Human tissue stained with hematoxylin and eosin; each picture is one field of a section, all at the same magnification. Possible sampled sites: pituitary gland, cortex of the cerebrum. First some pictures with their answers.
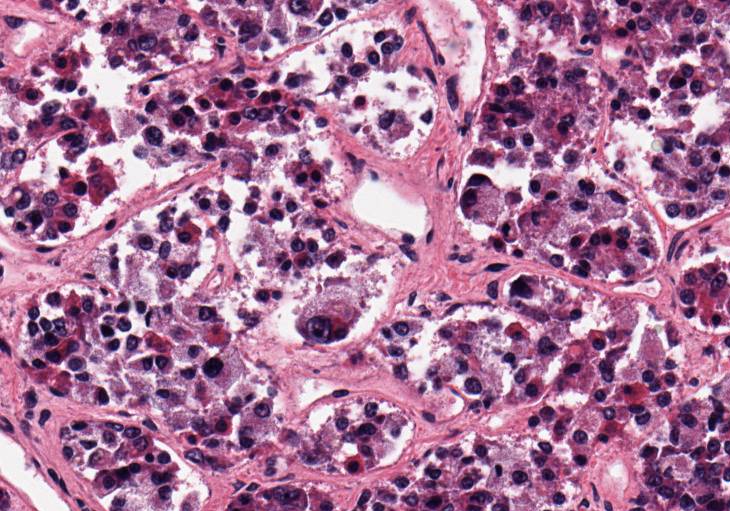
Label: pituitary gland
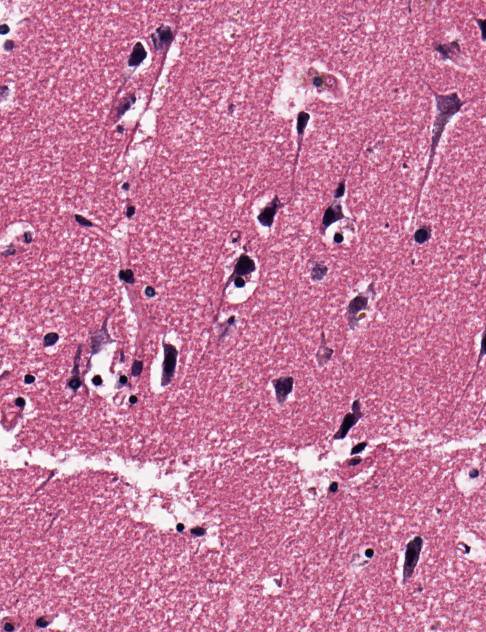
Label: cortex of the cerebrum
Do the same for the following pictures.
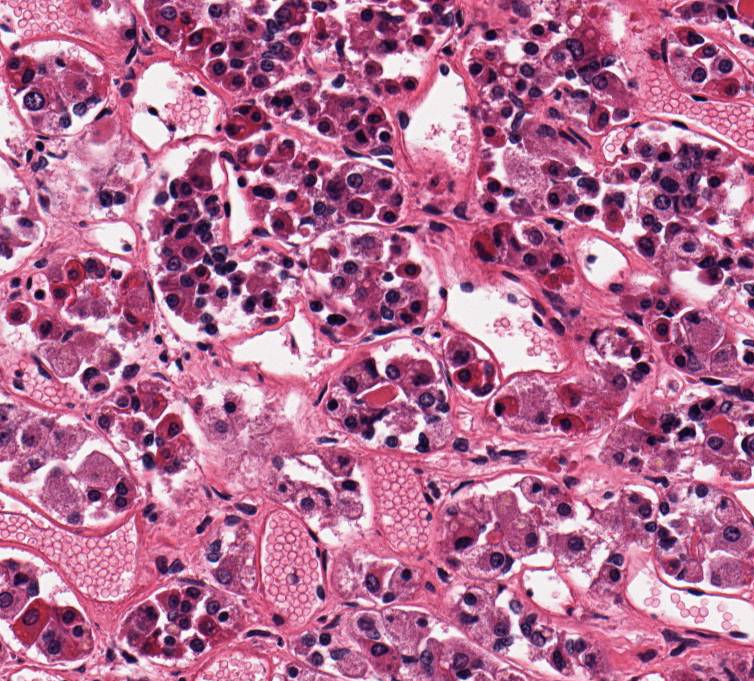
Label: pituitary gland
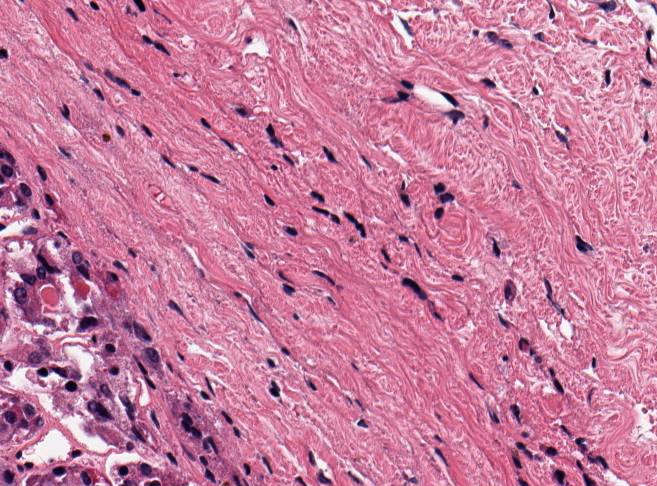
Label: pituitary gland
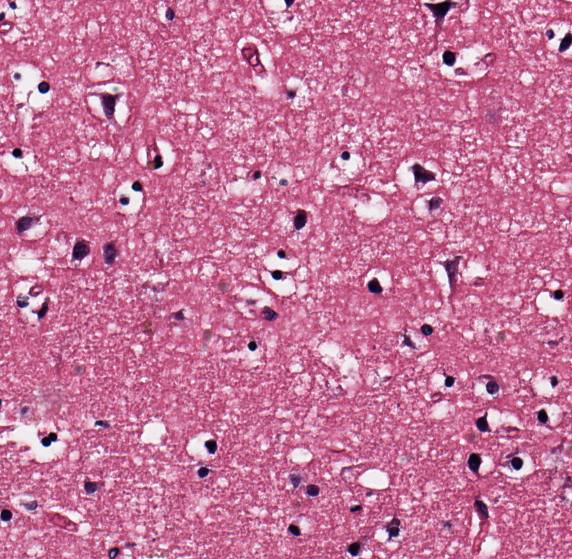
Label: cortex of the cerebrum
